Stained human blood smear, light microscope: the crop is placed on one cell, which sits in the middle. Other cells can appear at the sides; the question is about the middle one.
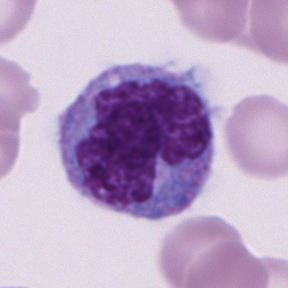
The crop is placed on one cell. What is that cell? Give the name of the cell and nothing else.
monocyte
